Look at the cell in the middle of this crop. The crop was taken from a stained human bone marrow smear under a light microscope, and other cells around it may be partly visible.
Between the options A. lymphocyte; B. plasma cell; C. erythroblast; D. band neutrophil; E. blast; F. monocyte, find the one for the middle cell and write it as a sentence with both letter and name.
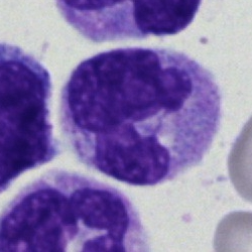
Option F holds up: the cell in the middle is a monocyte.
